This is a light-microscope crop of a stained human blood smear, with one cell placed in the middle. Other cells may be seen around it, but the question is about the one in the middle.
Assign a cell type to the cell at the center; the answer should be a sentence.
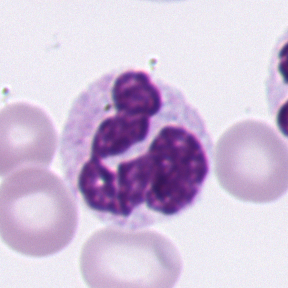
Centred in the crop is a segmented neutrophil.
